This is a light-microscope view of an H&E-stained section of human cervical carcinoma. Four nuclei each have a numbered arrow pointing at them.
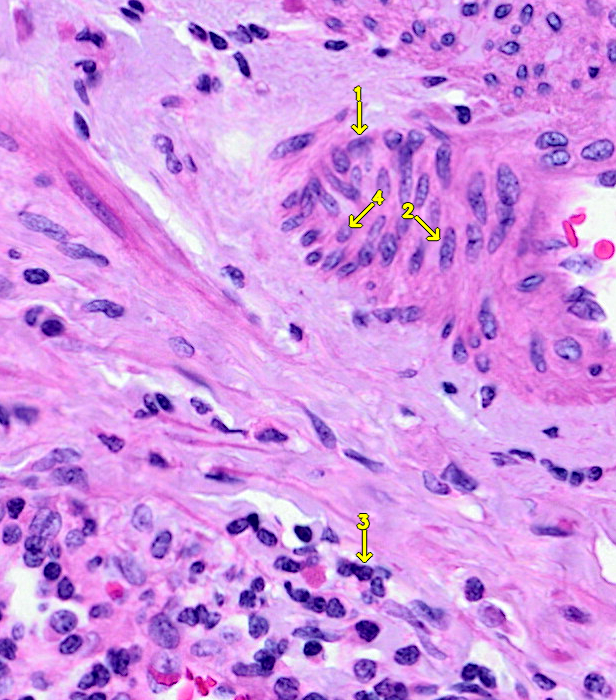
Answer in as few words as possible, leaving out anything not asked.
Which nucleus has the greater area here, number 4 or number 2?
2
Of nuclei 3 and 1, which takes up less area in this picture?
3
